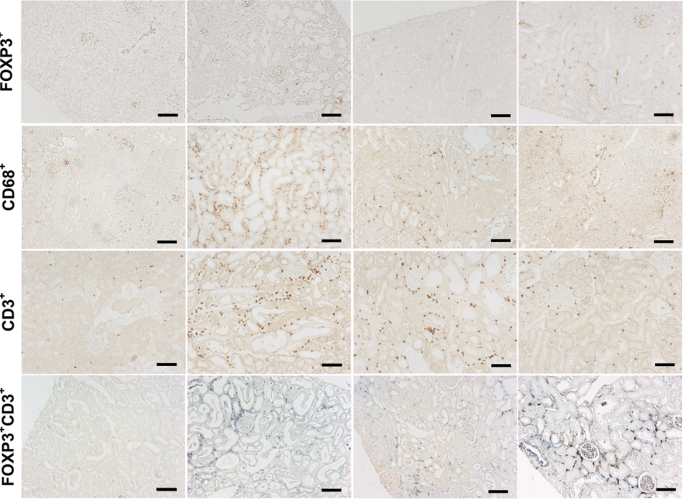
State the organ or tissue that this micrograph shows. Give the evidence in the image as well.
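Many round and oval tubular profiles cut in cross-section fill the sections. Rounded glomerulus-like tufts are scattered among the tubules.
Answer: kidney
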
